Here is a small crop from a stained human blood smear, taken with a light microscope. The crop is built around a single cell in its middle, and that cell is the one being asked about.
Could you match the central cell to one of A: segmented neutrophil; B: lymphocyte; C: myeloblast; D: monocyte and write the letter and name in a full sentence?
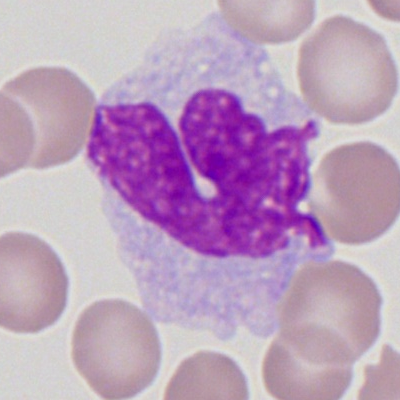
The cell at the centre, correctly named in option D, is a monocyte.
